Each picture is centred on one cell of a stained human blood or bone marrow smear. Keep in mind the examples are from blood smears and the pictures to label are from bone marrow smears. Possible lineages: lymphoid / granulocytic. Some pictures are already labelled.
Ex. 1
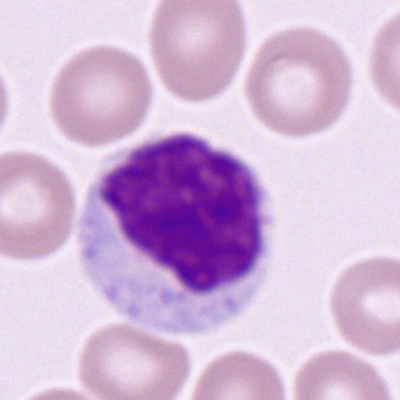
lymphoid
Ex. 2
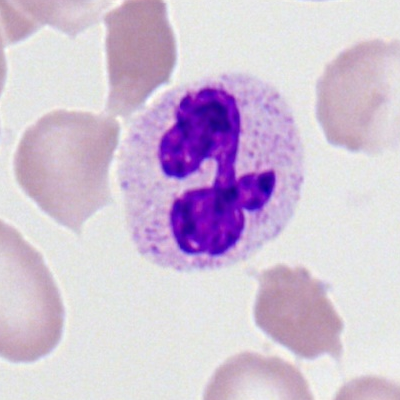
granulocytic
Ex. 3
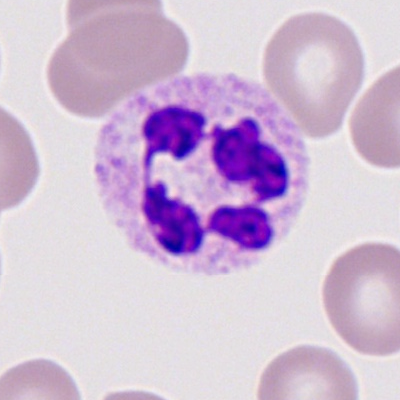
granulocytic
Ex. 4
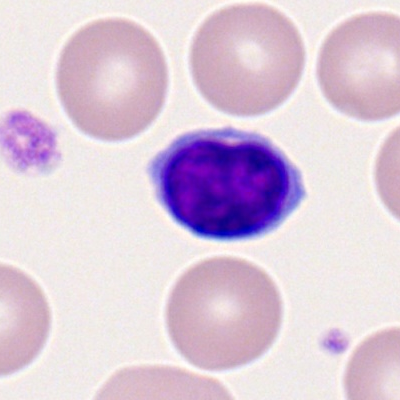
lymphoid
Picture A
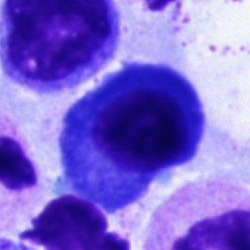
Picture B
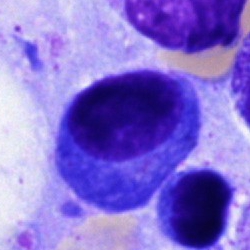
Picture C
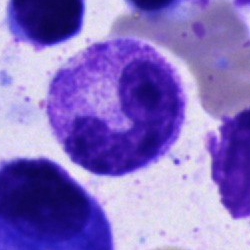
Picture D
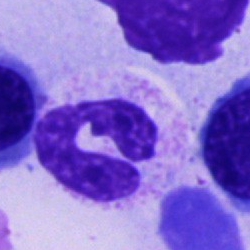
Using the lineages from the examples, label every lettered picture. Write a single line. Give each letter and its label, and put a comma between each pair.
A lymphoid, B lymphoid, C granulocytic, D granulocytic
